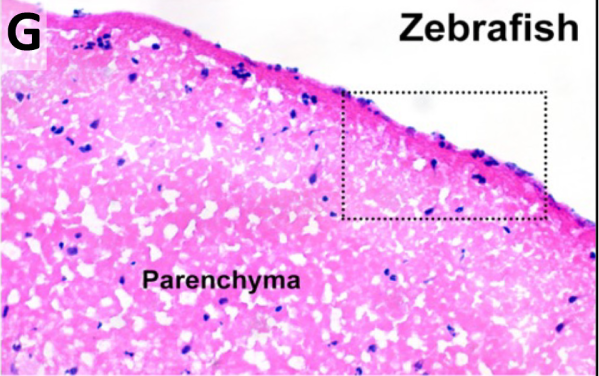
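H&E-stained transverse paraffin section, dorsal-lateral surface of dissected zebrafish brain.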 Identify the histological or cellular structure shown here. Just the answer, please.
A: leptomeninges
